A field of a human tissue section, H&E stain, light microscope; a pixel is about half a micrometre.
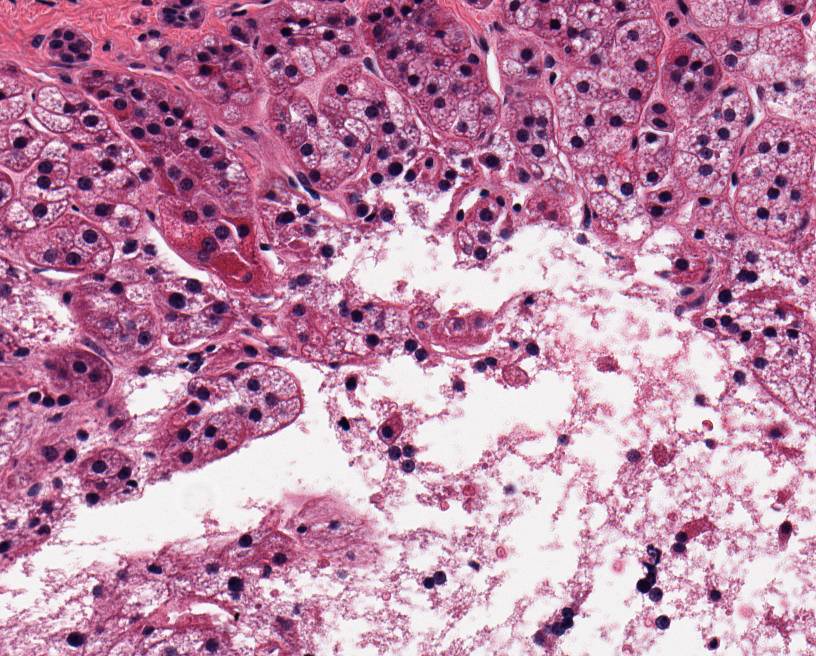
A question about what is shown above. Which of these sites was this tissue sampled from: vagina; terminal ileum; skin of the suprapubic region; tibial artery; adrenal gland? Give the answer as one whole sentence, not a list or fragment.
The tissue fragment was taken from the adrenal gland.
